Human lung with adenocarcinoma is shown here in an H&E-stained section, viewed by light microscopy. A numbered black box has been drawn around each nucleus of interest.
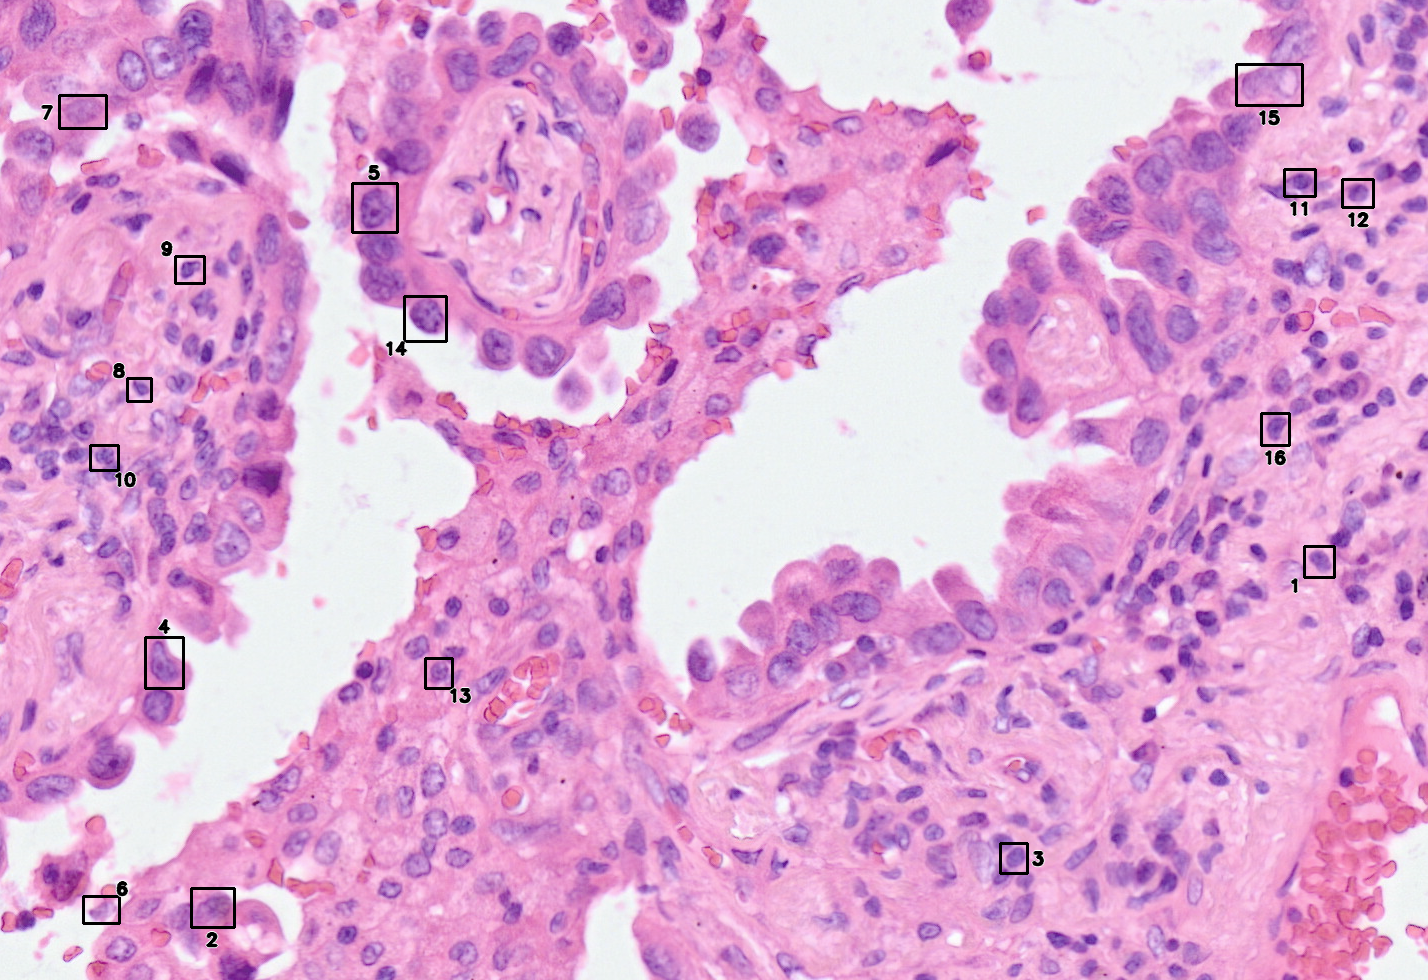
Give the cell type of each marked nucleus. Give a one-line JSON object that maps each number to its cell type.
{"1": "lymphocyte", "2": "carcinoma cell", "3": "lymphocyte", "4": "carcinoma cell", "5": "carcinoma cell", "6": "macrophage or monocyte", "7": "carcinoma cell", "8": "lymphocyte", "9": "lymphocyte", "10": "lymphocyte", "11": "lymphocyte", "12": "lymphocyte", "13": "lymphocyte", "14": "carcinoma cell", "15": "carcinoma cell", "16": "lymphocyte"}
